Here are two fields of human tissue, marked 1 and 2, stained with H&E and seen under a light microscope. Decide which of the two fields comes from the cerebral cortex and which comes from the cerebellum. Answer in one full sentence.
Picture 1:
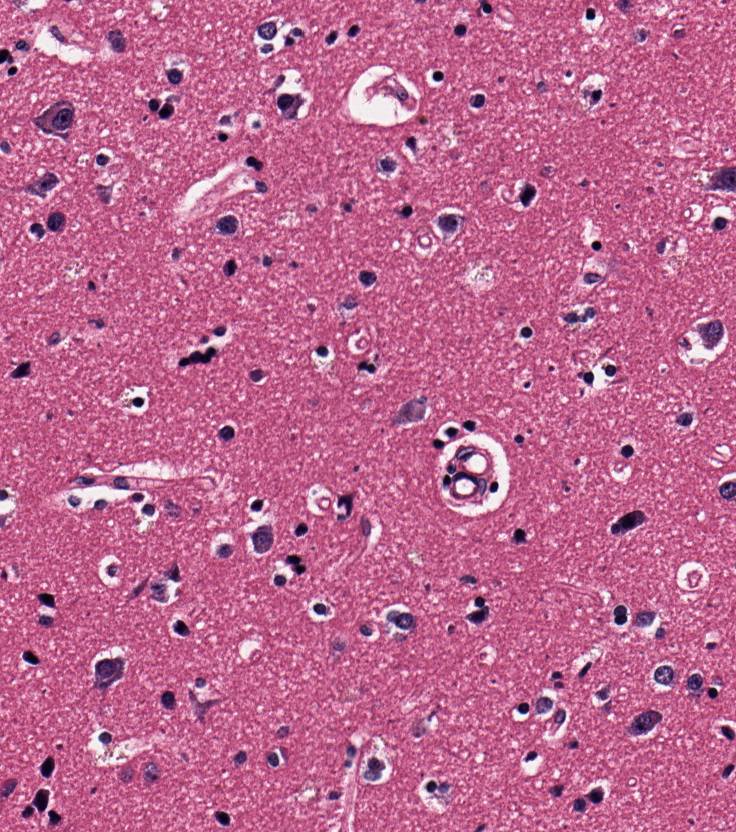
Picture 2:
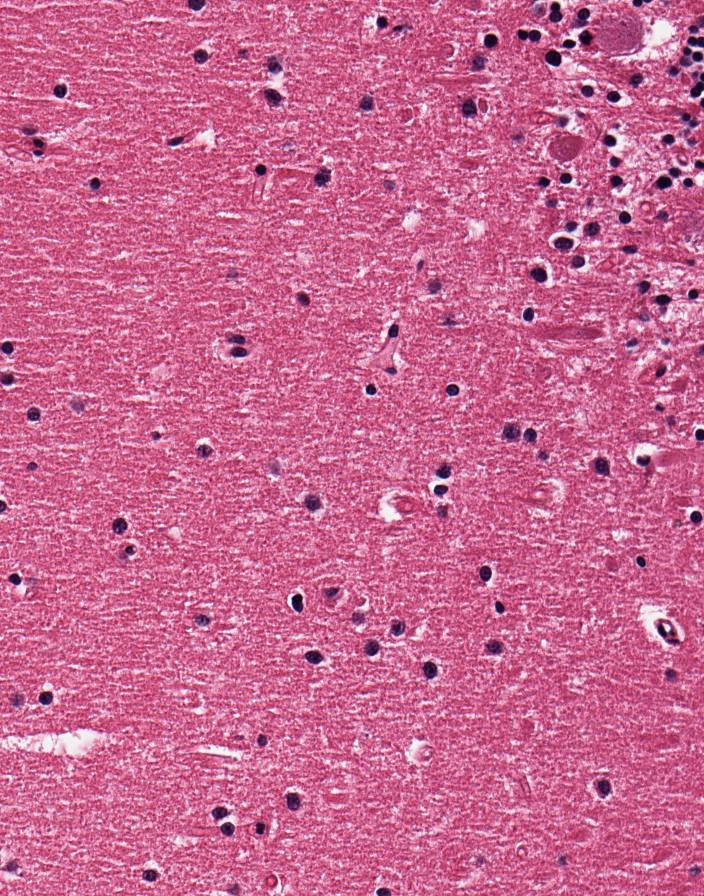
It is picture 1 that comes from the cerebral cortex, and picture 2 that comes from the cerebellum.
